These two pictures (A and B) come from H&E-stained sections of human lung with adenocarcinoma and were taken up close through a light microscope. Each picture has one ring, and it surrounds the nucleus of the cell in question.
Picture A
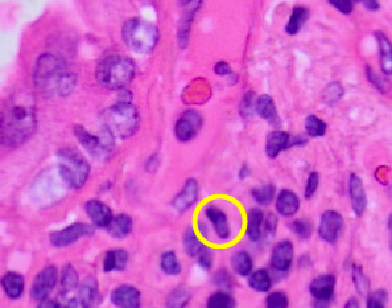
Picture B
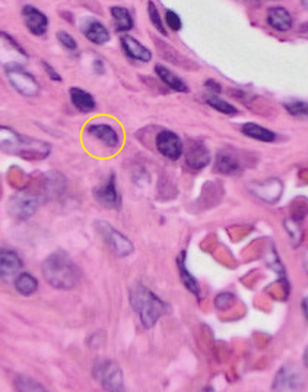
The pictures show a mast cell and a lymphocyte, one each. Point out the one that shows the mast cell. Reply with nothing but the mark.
B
